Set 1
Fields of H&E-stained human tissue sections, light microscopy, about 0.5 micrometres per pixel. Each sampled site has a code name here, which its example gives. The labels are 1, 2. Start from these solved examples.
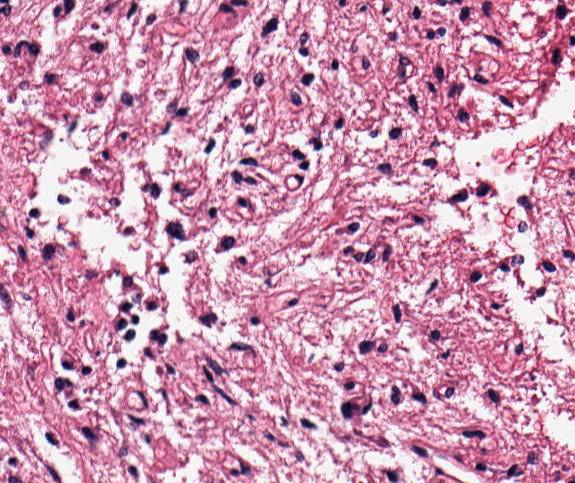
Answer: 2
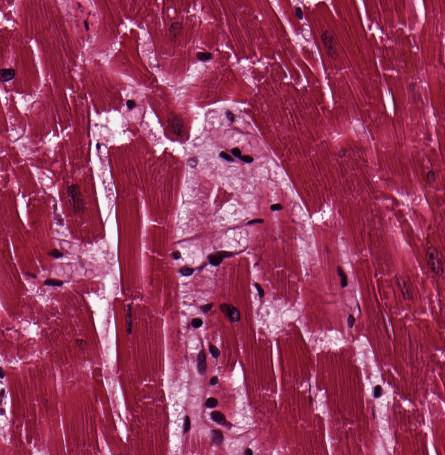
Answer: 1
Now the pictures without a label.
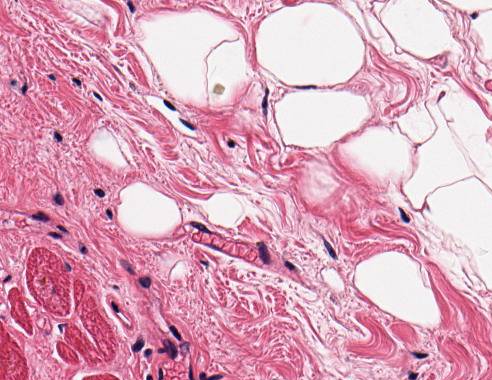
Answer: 1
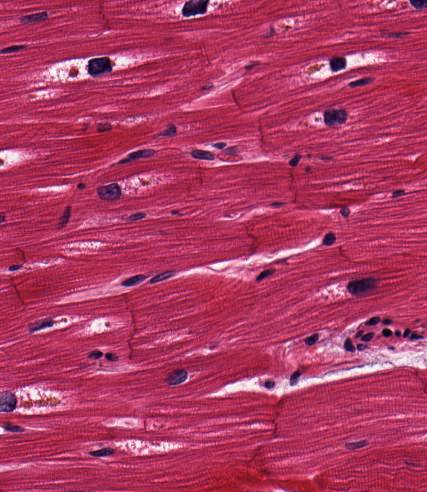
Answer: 1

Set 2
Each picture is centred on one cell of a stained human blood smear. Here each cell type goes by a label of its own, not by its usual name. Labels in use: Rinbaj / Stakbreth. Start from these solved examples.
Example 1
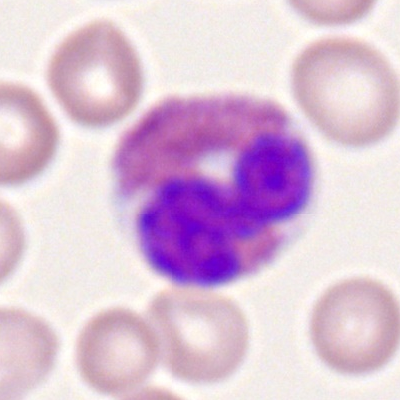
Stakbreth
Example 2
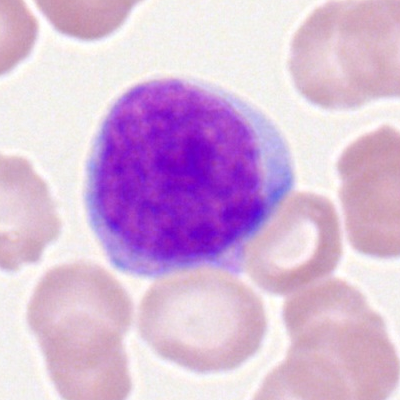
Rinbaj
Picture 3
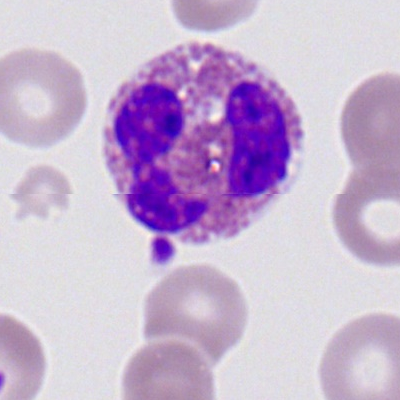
Stakbreth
